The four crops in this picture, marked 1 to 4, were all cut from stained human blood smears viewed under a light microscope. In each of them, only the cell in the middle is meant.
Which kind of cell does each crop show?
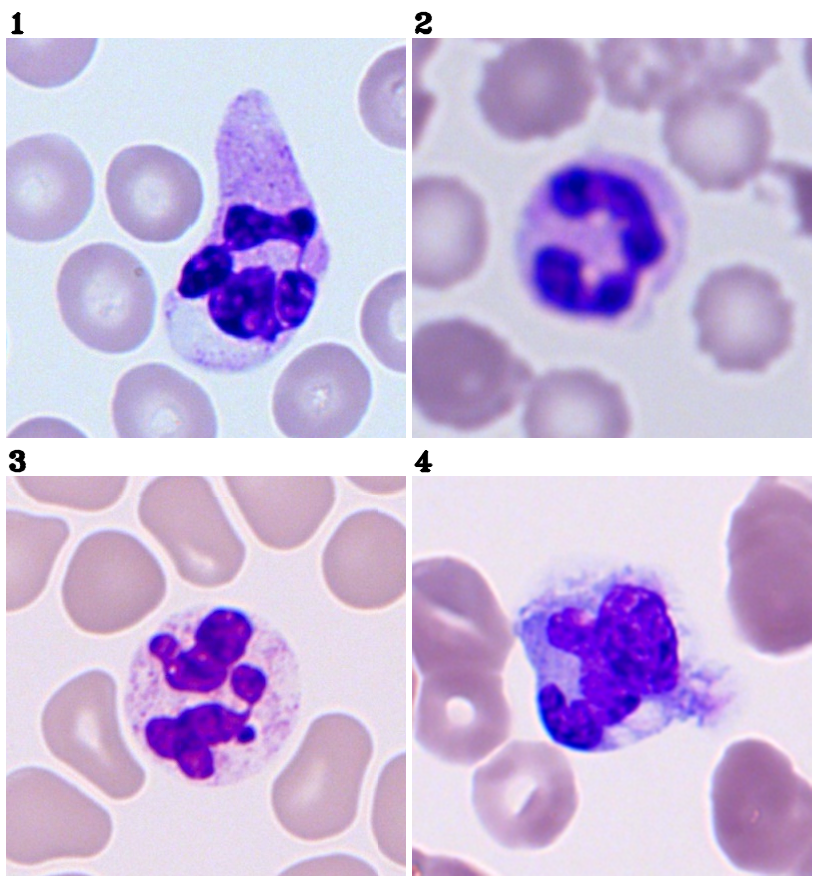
1: neutrophil
2: neutrophil
3: neutrophil
4: monocyte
